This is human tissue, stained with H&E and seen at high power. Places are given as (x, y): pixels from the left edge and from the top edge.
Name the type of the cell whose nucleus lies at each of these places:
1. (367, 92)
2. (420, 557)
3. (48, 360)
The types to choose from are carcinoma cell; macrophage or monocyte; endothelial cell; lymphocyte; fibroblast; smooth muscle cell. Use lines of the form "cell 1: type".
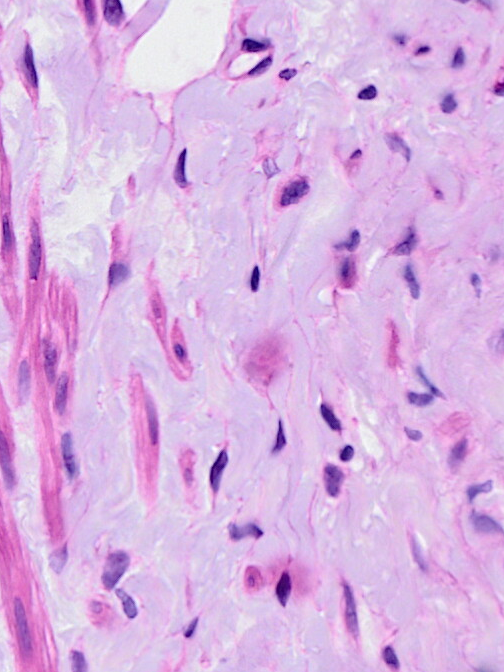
cell 1: lymphocyte
cell 2: fibroblast
cell 3: smooth muscle cell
